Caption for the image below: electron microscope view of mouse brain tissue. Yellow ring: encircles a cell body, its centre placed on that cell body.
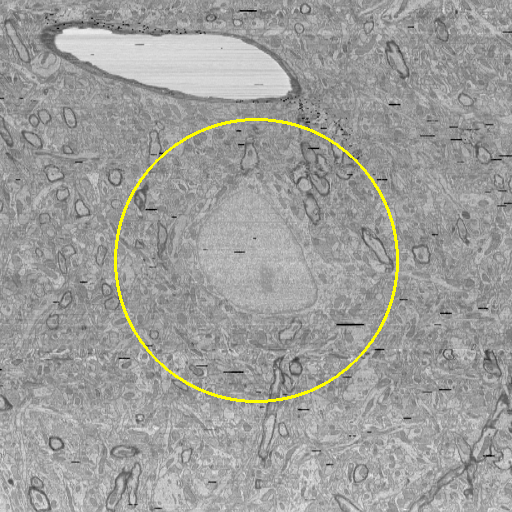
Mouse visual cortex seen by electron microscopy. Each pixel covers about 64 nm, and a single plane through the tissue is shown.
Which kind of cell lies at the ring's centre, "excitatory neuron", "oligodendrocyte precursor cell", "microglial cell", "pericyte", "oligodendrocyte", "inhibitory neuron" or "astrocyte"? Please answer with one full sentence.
The picture shows an astrocyte at the centre of the yellow ring.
